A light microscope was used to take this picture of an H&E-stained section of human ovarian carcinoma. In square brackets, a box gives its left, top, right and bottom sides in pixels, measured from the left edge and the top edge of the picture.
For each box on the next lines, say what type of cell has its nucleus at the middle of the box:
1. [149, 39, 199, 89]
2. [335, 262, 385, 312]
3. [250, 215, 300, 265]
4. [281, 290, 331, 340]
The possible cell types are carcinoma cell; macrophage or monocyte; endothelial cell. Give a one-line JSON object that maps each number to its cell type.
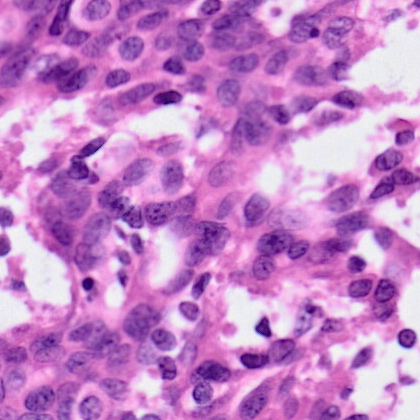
{"1": "carcinoma cell", "2": "carcinoma cell", "3": "carcinoma cell", "4": "macrophage or monocyte"}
